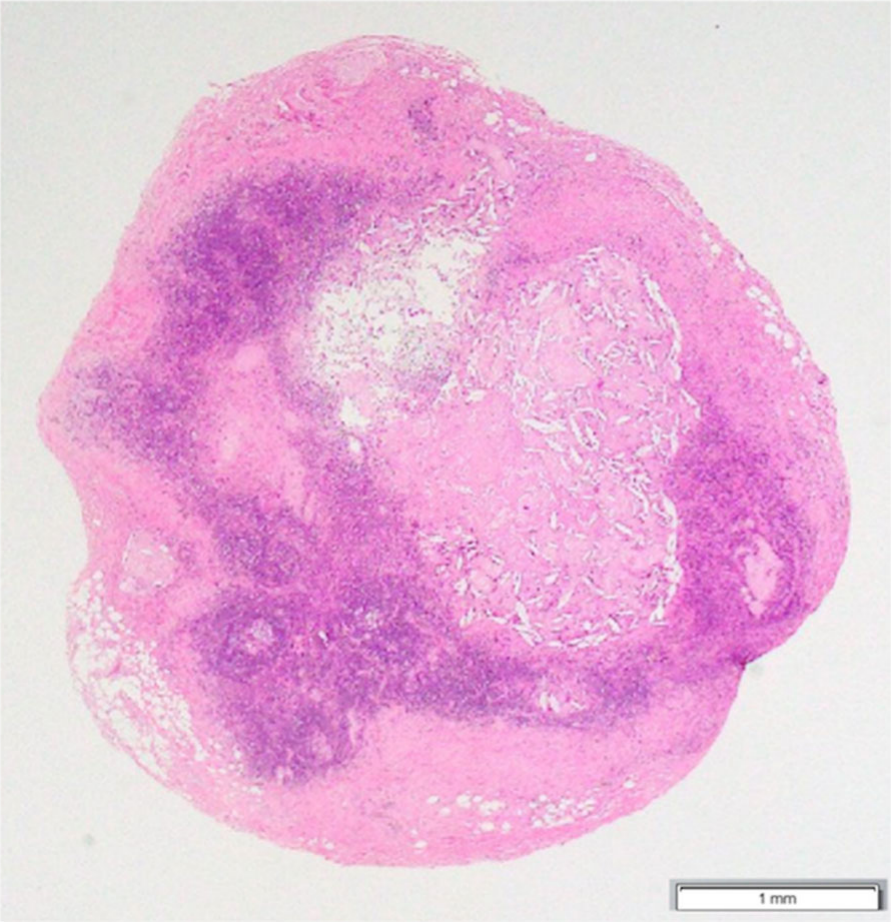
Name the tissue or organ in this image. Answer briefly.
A: Lymph node.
